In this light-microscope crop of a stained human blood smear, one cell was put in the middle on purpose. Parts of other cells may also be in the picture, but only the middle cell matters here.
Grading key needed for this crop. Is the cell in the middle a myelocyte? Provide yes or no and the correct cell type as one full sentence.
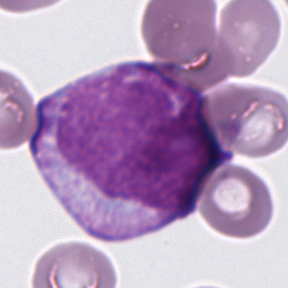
No, the cell in the centre of the crop is an atypical promyelocyte as opposed to a myelocyte.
